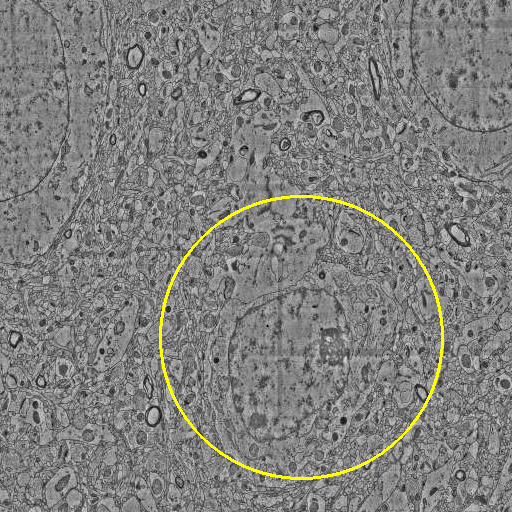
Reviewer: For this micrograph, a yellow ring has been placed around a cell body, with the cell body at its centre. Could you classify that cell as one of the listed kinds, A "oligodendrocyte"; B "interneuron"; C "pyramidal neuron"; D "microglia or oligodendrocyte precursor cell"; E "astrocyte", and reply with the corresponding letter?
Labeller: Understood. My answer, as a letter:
B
